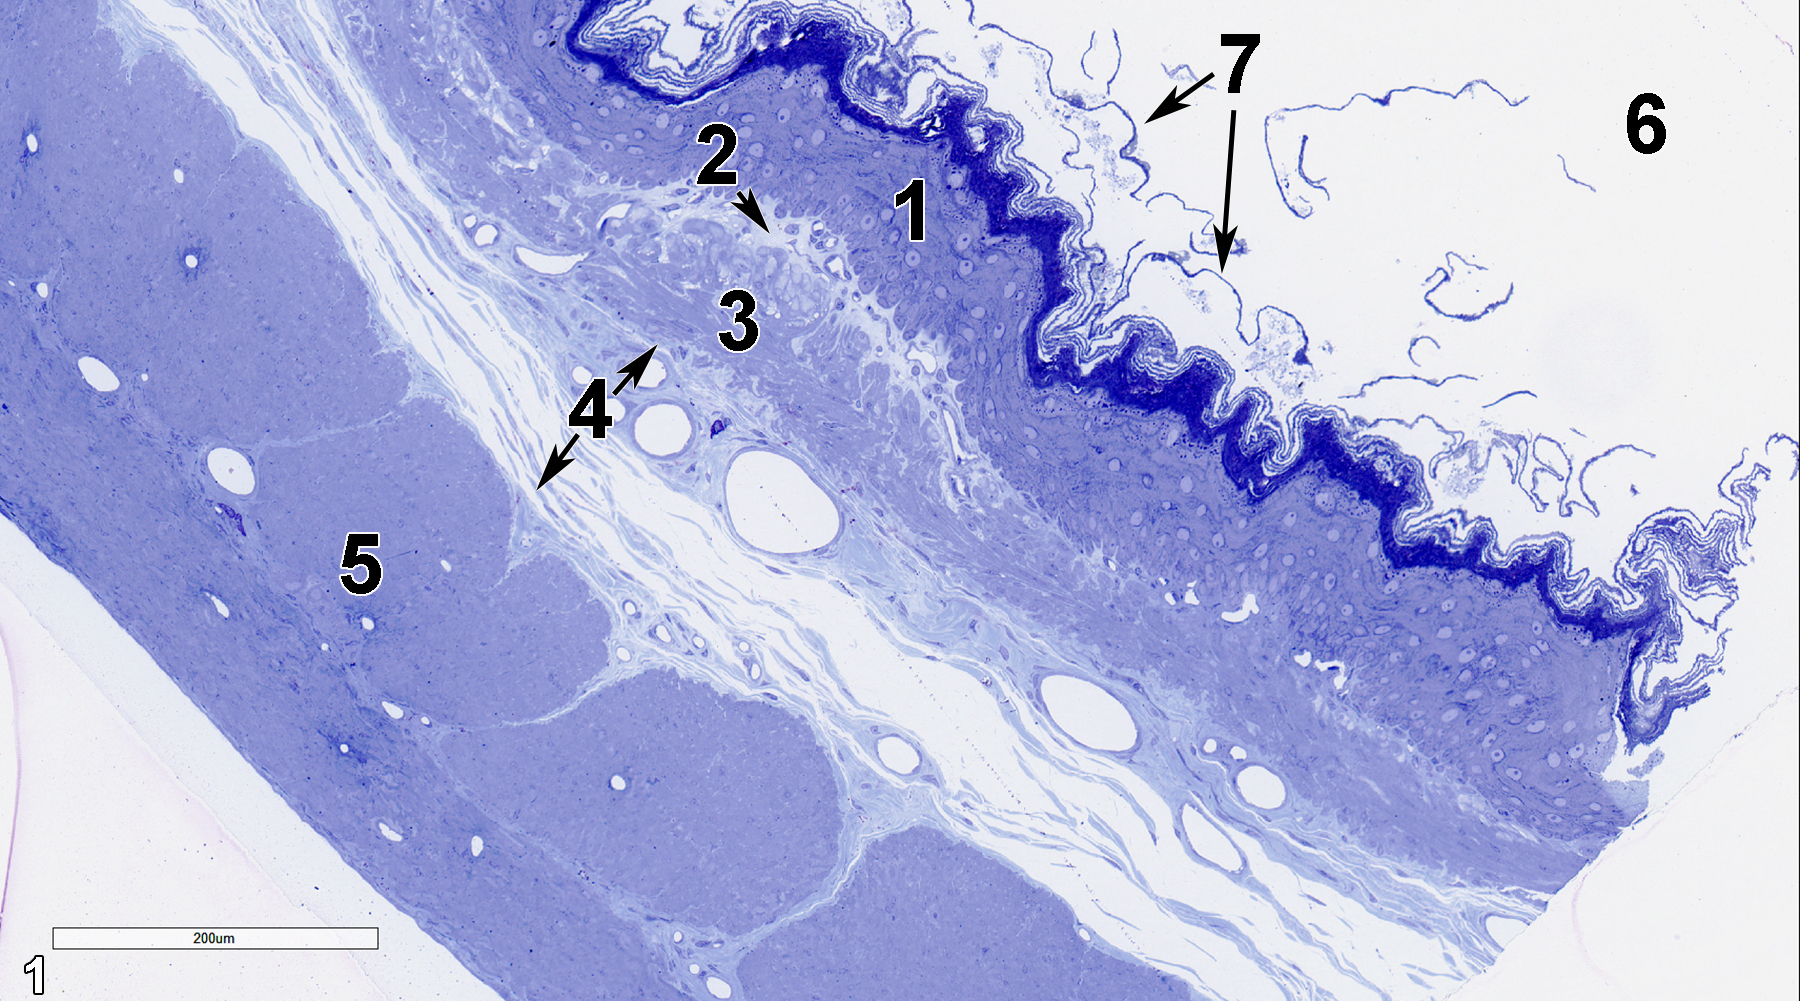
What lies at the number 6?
lumen of the forestomach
